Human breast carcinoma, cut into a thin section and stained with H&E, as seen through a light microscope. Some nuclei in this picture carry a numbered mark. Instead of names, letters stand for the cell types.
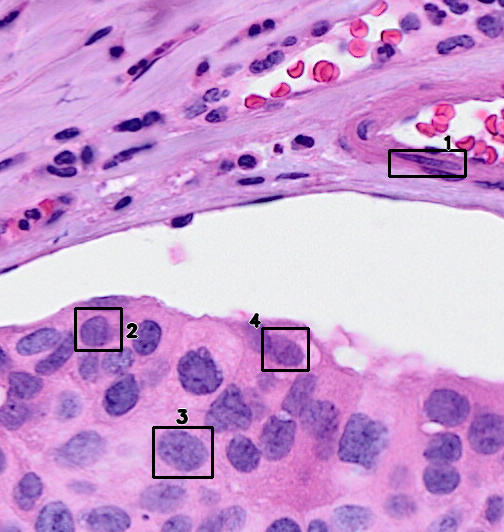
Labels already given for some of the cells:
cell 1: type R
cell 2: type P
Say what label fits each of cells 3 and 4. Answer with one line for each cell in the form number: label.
3: type P
4: type P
